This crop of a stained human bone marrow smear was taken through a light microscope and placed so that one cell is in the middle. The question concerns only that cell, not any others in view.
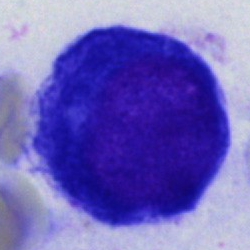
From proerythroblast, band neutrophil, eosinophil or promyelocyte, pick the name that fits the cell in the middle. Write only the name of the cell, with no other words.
proerythroblast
